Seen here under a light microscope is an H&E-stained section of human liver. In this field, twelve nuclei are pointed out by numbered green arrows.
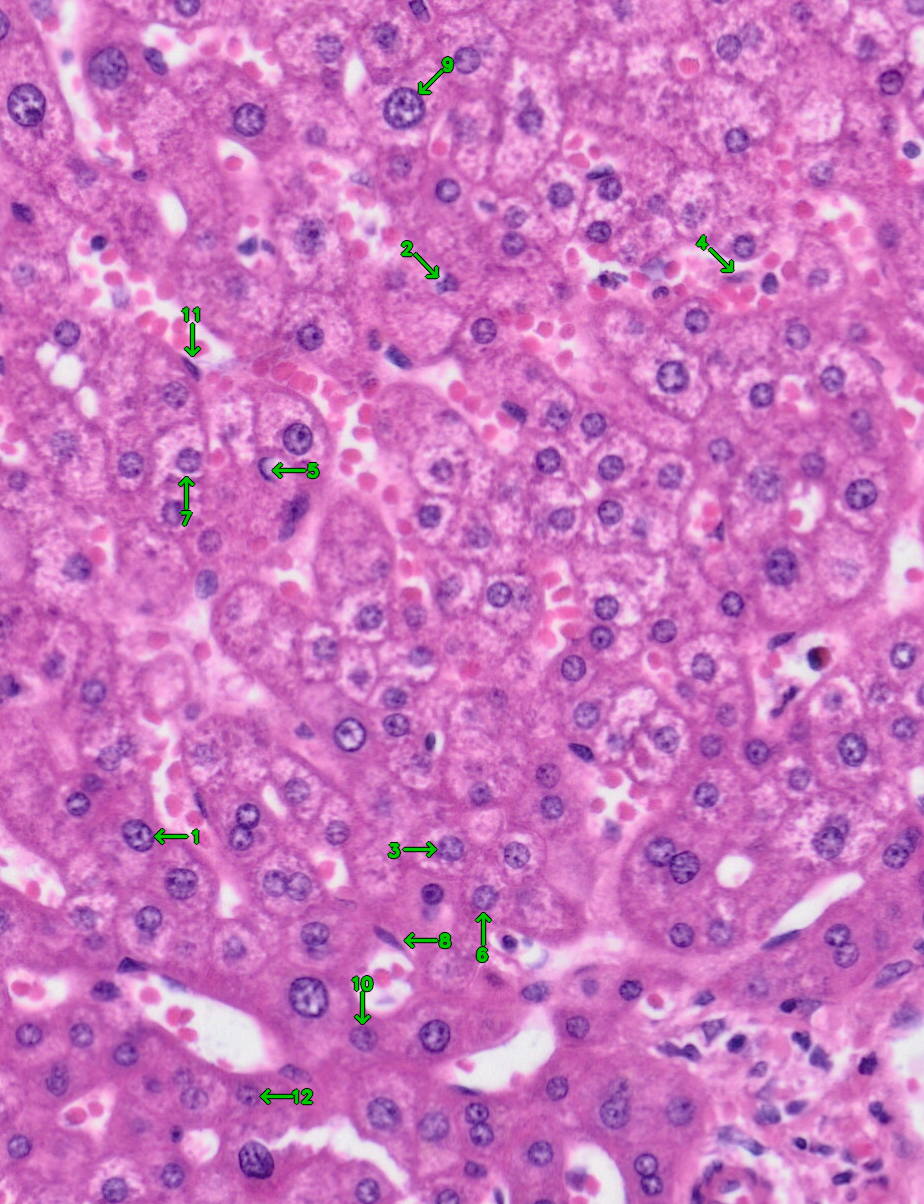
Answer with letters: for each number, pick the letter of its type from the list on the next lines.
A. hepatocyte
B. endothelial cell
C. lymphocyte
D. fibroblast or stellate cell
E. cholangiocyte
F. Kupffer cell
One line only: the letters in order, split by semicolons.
A; B; A; F; B; A; A; D; A; A; B; A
